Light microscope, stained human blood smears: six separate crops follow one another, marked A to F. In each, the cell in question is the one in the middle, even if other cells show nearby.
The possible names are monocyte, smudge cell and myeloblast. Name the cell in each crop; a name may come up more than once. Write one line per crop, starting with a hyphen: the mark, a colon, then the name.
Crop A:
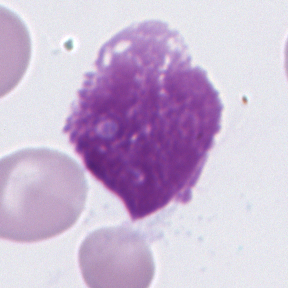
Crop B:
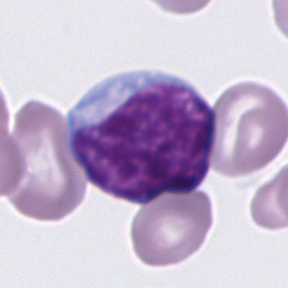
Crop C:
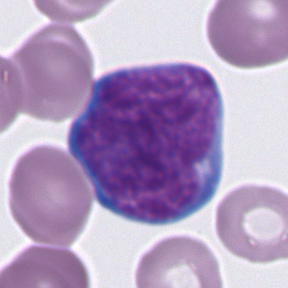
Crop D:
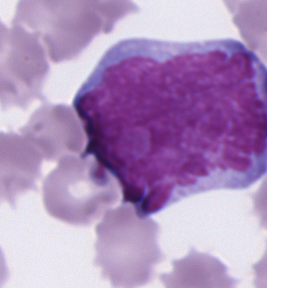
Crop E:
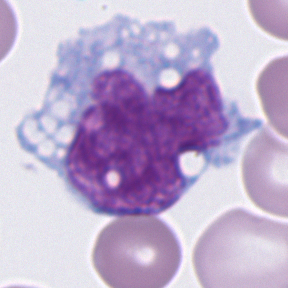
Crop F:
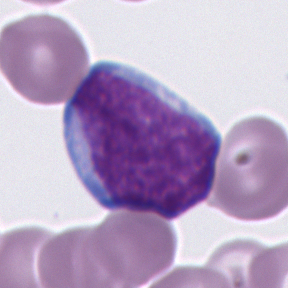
- A: smudge cell
- B: myeloblast
- C: myeloblast
- D: myeloblast
- E: monocyte
- F: myeloblast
